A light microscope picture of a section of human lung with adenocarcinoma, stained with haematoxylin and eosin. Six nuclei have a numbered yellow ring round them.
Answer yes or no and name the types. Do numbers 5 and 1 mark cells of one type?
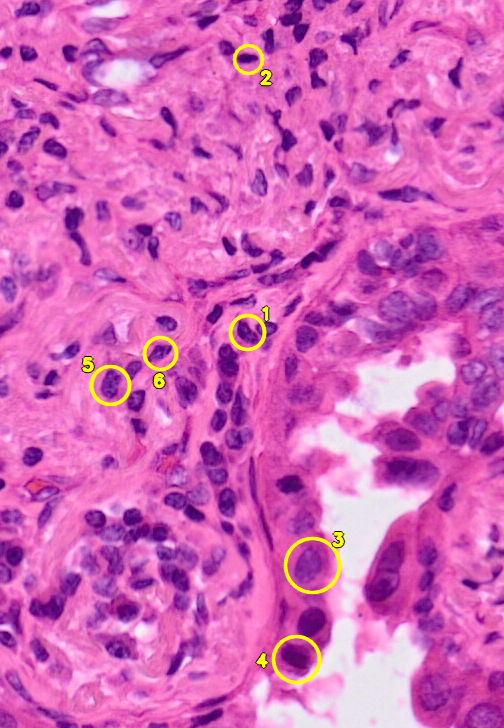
Yes, cells 5 and 1 are both plasma cells in this section.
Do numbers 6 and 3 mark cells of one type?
No, cell 6 is a lymphocyte, but cell 3 is a carcinoma cell.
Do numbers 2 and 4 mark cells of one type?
No, whereas cell 4 is a carcinoma cell, cell 2 is a lymphocyte.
